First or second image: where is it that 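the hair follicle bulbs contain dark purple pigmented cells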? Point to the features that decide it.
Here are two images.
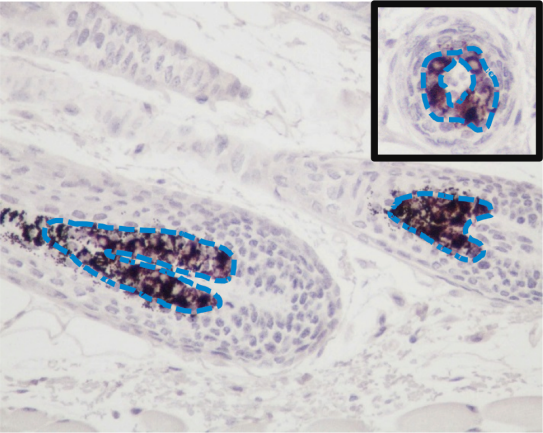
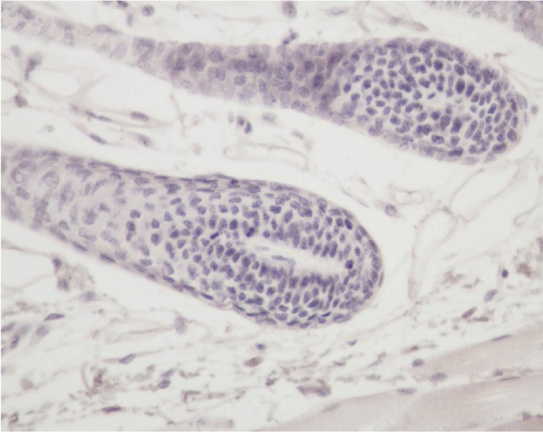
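Second image: the follicle bulbs show only pale blue nuclei with no dark pigment. First image: the follicle bulbs hold large dark purple-black granular deposits. That points to this answer: the first image.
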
